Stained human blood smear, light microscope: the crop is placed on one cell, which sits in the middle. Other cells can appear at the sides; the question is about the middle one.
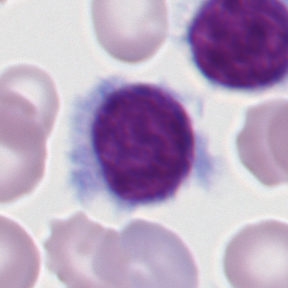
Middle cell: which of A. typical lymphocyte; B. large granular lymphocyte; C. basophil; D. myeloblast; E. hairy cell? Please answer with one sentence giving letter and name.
In the middle of the crop is a hairy cell; option E is therefore correct.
